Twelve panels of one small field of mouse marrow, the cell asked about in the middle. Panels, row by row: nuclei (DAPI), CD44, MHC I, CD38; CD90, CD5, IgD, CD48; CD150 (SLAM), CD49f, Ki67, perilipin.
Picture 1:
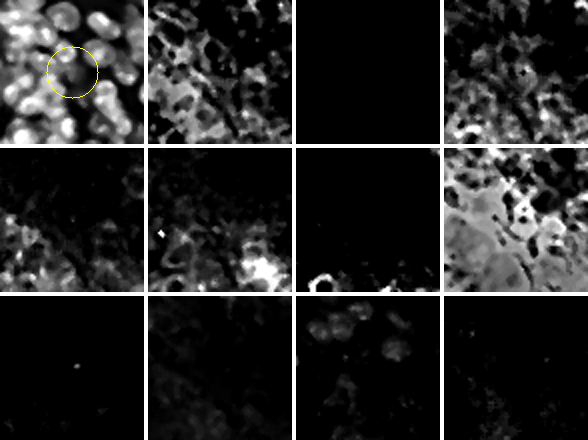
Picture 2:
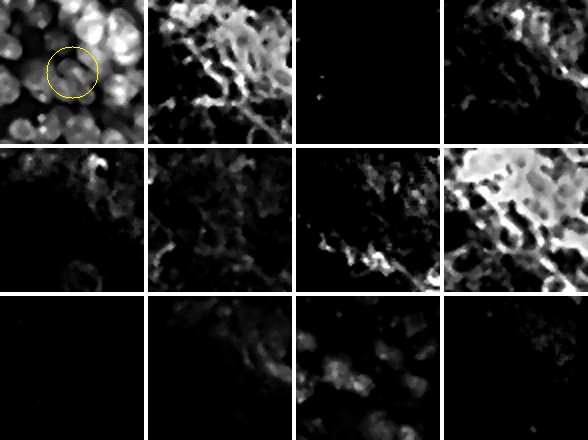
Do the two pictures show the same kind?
Yes, both are monocytes.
